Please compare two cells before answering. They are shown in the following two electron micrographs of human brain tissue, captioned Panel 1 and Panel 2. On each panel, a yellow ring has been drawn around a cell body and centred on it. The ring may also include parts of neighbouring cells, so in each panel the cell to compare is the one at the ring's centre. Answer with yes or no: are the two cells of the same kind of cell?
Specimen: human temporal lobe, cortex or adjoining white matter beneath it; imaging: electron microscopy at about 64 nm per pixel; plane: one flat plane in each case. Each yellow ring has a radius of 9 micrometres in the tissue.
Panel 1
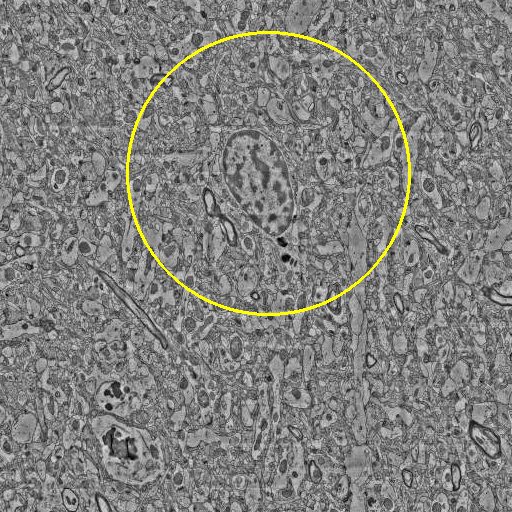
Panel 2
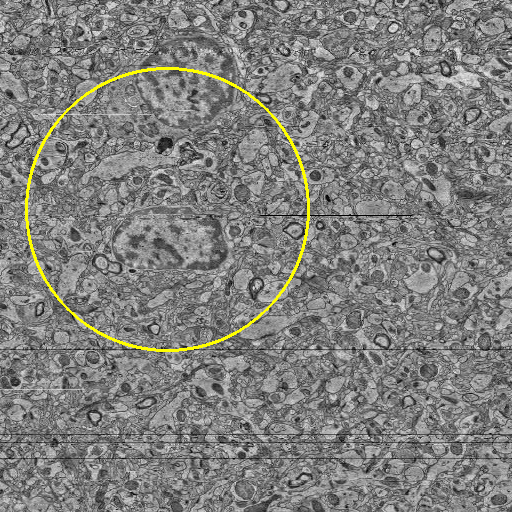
yes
